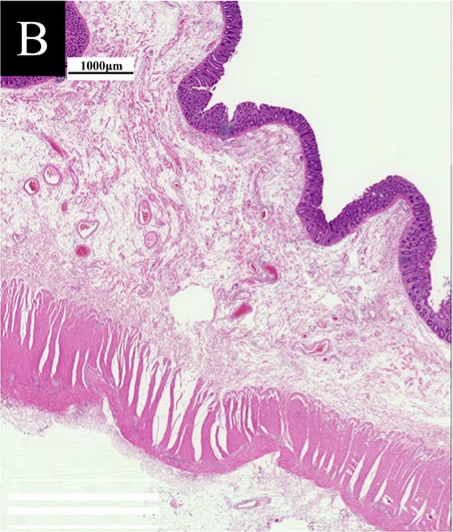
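This is a section through the intestinal wall, with the mucosa, submucosa and muscle layer lying one above the other. Along the top right runs a folded lining of tall, deep purple columnar epithelium. Beneath it lies a broad, pale pink, loosely textured submucosa with widely spaced fibres and scattered small round vessels, some containing red blood cells. Across the lower part a dense pink muscle layer runs, its fibre bundles separated by narrow clefts.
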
